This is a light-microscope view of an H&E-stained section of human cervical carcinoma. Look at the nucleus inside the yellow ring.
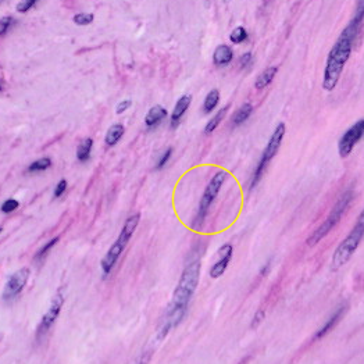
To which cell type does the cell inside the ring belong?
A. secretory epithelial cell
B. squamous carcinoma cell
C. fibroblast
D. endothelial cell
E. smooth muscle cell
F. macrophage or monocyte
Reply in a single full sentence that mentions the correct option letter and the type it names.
Option E holds, since the cell inside the ring is a smooth muscle cell.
